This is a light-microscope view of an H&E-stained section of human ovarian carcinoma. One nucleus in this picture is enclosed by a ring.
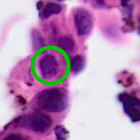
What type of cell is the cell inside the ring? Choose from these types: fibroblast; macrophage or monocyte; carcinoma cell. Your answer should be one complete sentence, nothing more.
In the stained section, the cell inside the ring is a carcinoma cell.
